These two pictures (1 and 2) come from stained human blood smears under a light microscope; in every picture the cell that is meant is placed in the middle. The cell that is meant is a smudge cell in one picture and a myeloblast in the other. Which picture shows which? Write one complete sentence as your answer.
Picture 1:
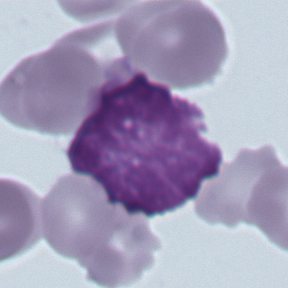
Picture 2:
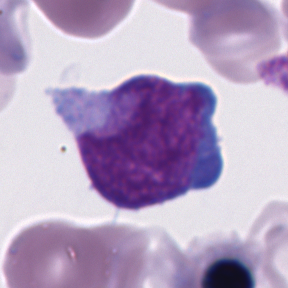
In picture 1 the cell is a smudge cell; in picture 2, a myeloblast.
